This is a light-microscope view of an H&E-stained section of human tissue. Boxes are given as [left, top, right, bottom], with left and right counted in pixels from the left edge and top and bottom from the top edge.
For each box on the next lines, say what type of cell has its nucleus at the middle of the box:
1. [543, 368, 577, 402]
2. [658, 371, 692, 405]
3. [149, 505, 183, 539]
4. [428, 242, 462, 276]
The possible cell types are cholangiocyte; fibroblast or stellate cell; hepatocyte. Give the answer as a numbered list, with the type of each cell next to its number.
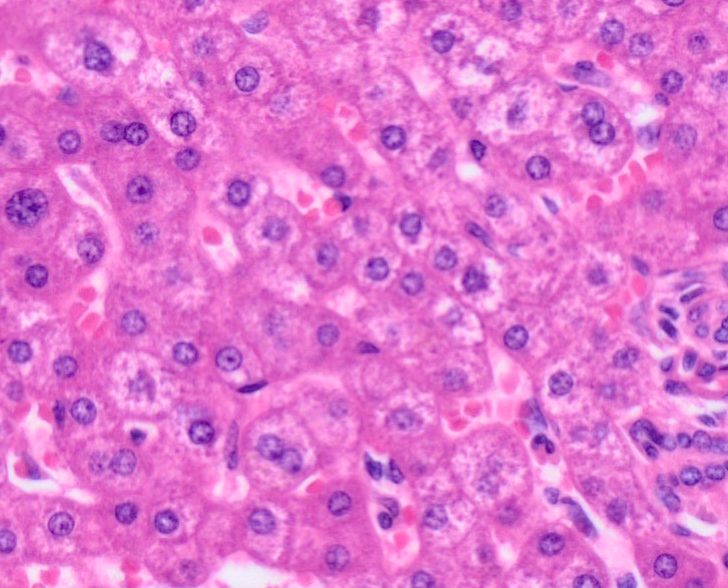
1. hepatocyte
2. fibroblast or stellate cell
3. hepatocyte
4. hepatocyte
